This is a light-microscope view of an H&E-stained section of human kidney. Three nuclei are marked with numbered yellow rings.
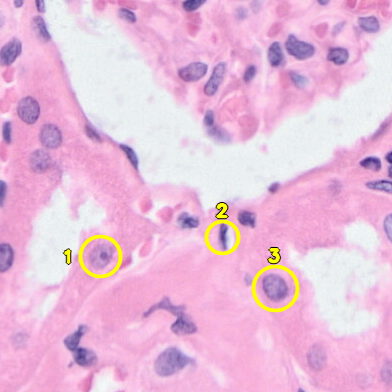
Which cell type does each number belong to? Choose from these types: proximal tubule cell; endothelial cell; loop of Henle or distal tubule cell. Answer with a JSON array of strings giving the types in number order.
["proximal tubule cell", "endothelial cell", "proximal tubule cell"]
